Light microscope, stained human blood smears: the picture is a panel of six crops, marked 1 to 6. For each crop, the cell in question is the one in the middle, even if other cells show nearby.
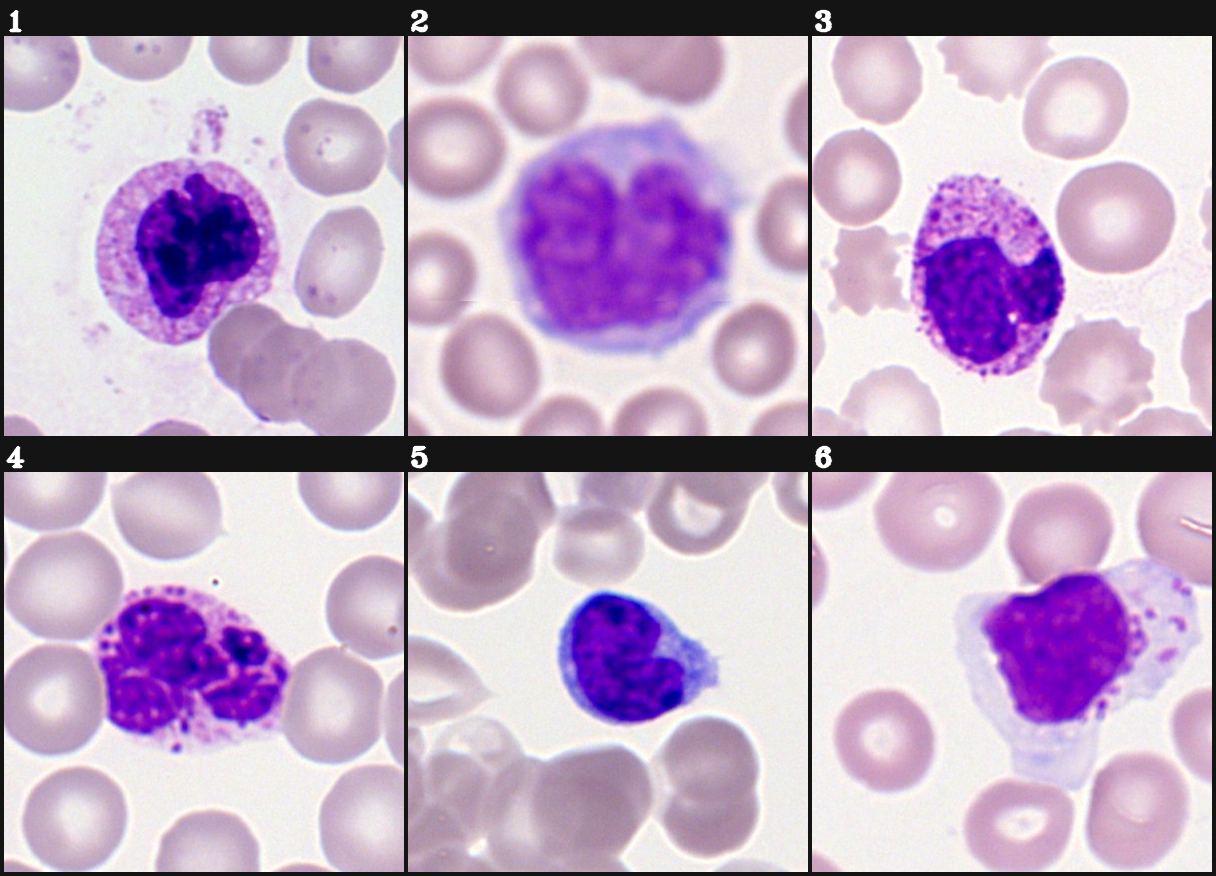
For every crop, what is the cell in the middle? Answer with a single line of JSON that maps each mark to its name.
{"1": "basophil", "2": "monocyte", "3": "basophil", "4": "basophil", "5": "lymphocyte", "6": "lymphocyte"}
